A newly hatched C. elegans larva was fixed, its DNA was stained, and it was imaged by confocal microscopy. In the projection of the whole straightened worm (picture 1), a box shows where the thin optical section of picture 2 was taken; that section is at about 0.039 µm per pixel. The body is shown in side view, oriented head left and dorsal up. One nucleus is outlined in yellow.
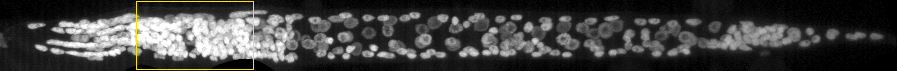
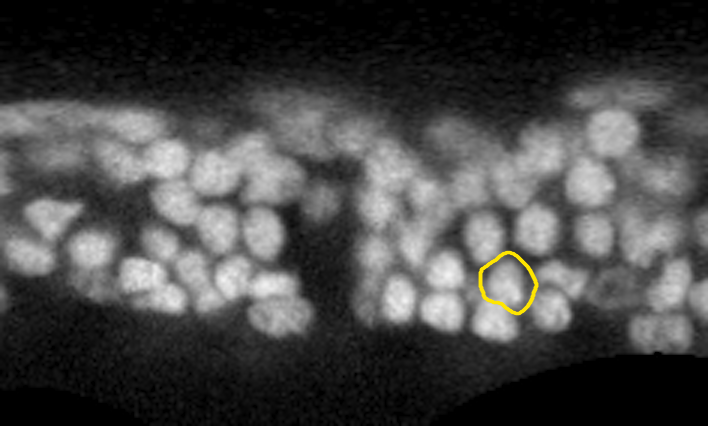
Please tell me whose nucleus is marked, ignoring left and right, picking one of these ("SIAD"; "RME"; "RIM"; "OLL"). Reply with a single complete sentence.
It is the nucleus of SIAD, a neuron.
